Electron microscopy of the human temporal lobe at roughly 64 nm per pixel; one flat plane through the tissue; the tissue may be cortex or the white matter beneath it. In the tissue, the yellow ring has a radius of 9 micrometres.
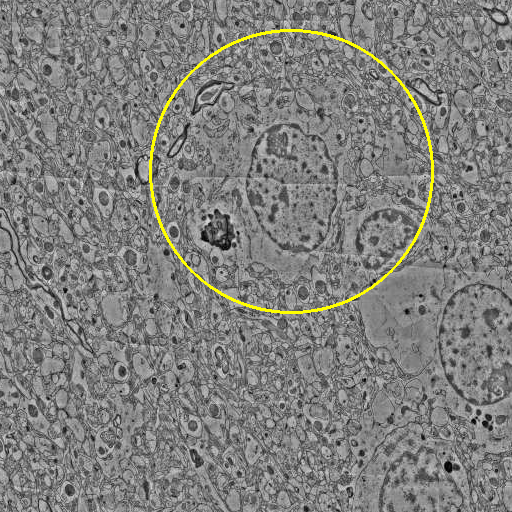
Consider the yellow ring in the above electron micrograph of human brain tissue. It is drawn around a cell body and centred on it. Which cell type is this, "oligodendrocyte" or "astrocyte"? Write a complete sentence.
The cell in question is an astrocyte.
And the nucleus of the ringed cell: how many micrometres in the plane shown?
The nucleus is approximately 8 micrometers long by 6 micrometers wide in this plane.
